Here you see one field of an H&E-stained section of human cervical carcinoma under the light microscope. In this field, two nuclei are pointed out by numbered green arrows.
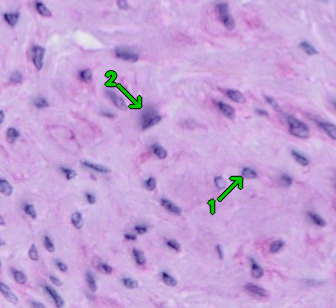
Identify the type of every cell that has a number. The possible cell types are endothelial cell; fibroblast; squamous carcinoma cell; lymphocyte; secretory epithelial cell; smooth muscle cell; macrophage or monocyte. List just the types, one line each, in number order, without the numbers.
smooth muscle cell
fibroblast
